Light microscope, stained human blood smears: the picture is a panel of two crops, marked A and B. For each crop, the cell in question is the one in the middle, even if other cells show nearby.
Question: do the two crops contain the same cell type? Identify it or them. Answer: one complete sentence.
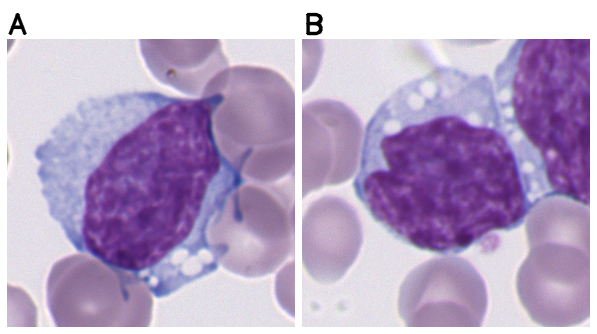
Yes, the cells at the centre of the two crops are both blasts.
